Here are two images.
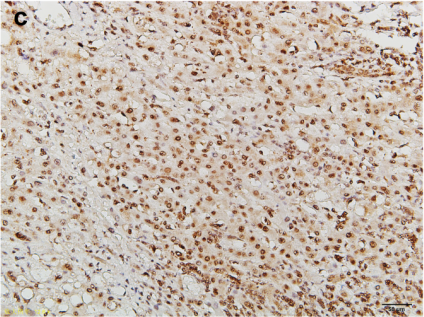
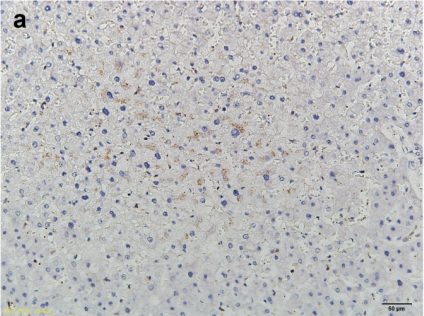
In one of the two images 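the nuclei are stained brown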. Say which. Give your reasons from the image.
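Second image: nuclei are blue-purple with only faint scattered brown granules. First image: most nuclei are dark brown across the field.
Conclusion: the first image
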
